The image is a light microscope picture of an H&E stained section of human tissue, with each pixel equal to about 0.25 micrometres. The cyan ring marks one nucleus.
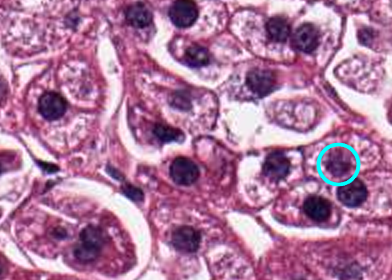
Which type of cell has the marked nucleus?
adrenal cortical cell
